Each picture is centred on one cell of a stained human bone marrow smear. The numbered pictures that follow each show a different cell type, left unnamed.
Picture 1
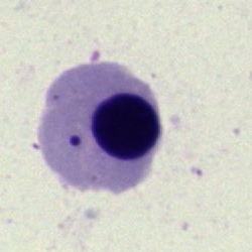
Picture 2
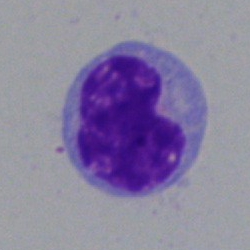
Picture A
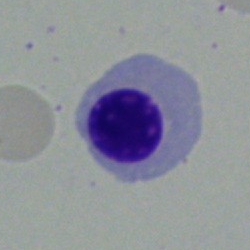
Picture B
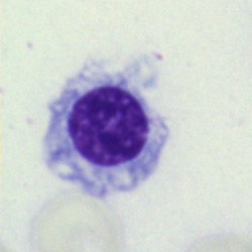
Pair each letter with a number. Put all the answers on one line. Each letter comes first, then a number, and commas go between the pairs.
A 1, B 1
